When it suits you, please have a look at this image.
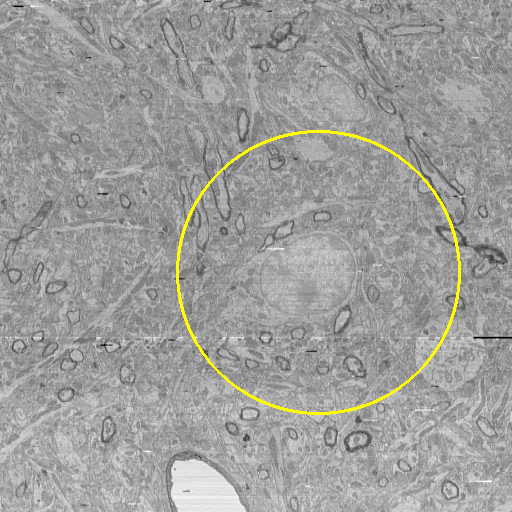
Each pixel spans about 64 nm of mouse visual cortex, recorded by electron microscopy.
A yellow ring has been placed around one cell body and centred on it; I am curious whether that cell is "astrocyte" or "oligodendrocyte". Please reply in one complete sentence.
The ringed cell, an oligodendrocyte, has its body at the centre of the yellow ring.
